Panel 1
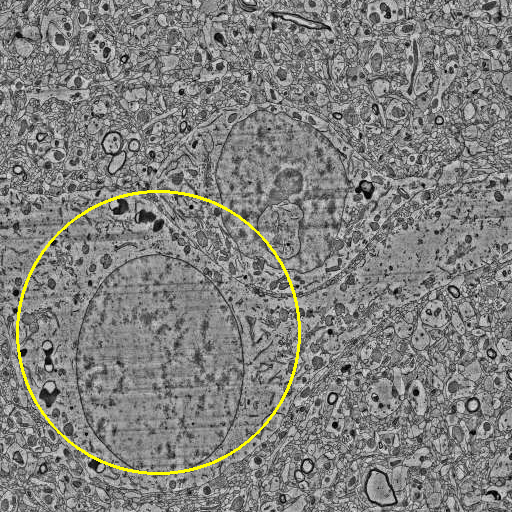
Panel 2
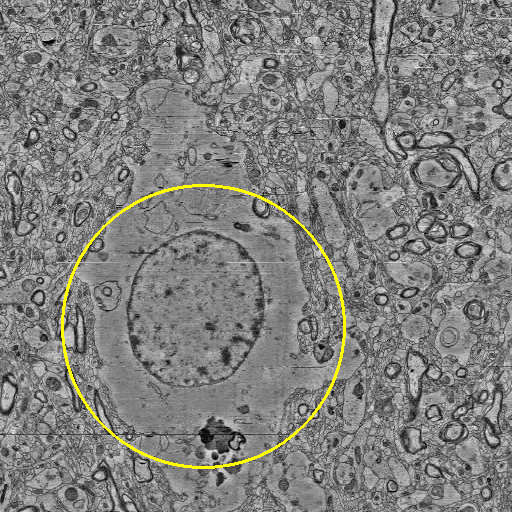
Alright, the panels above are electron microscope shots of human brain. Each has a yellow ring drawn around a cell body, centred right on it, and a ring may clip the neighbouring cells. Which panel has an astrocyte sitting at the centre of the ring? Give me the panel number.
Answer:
2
